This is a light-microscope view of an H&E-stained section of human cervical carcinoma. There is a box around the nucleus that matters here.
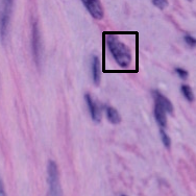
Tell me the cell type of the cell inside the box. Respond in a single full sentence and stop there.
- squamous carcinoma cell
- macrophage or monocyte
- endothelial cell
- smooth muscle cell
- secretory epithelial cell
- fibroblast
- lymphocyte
For the purposes of cell typing, the cell inside the box is categorized as an endothelial cell.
